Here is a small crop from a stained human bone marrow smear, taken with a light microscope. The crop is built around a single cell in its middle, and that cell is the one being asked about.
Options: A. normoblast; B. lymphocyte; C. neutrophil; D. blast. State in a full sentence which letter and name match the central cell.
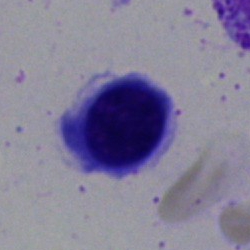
Option A is correct; the cell in the middle is a normoblast.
